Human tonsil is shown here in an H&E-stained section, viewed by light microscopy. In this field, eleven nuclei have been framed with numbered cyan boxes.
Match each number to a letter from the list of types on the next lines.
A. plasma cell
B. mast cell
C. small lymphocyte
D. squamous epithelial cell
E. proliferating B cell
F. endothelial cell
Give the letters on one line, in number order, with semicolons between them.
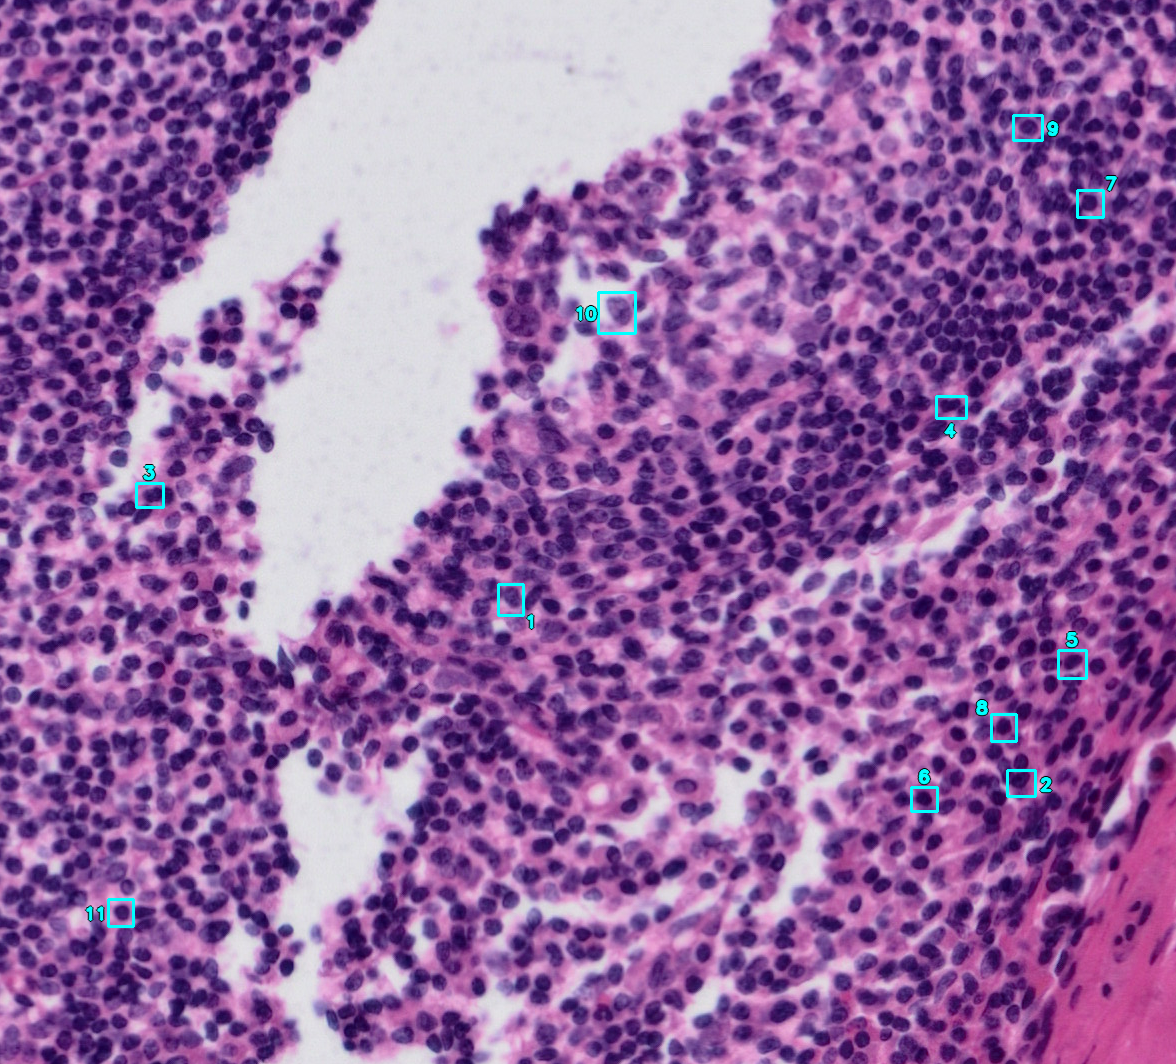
C; A; C; C; A; A; C; A; C; E; C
